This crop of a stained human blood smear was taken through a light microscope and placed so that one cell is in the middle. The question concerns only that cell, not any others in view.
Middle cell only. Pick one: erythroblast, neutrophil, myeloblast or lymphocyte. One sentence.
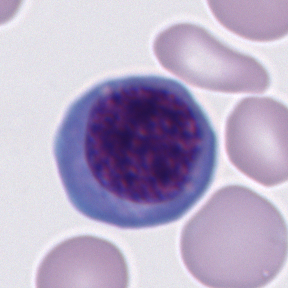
The cell under consideration, at the middle of the crop, is an erythroblast.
